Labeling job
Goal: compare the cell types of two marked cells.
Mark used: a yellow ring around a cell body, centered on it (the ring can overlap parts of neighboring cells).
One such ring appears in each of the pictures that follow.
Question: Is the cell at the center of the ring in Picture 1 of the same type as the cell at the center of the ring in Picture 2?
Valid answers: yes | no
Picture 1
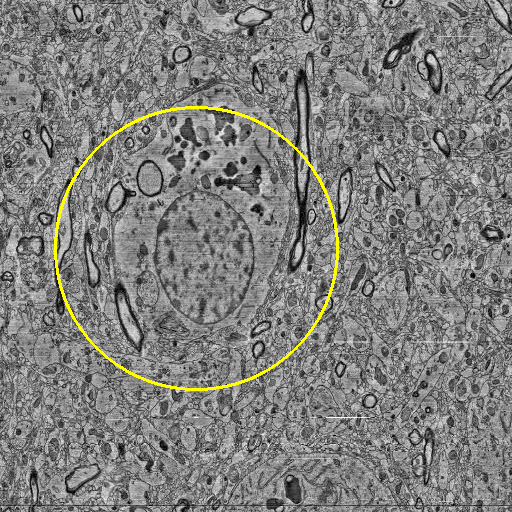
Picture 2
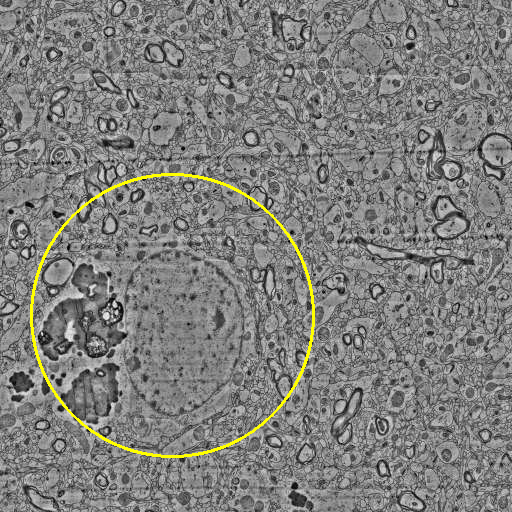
yes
